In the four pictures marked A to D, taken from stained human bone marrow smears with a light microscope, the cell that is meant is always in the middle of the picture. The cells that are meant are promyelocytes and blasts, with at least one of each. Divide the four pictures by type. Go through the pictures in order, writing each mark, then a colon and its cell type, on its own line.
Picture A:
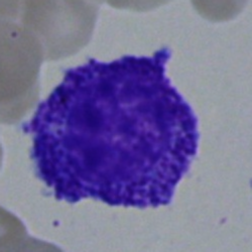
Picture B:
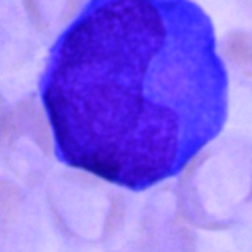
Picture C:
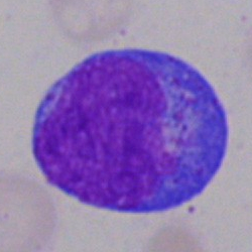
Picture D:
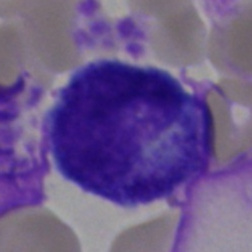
A: promyelocyte
B: blast
C: promyelocyte
D: promyelocyte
